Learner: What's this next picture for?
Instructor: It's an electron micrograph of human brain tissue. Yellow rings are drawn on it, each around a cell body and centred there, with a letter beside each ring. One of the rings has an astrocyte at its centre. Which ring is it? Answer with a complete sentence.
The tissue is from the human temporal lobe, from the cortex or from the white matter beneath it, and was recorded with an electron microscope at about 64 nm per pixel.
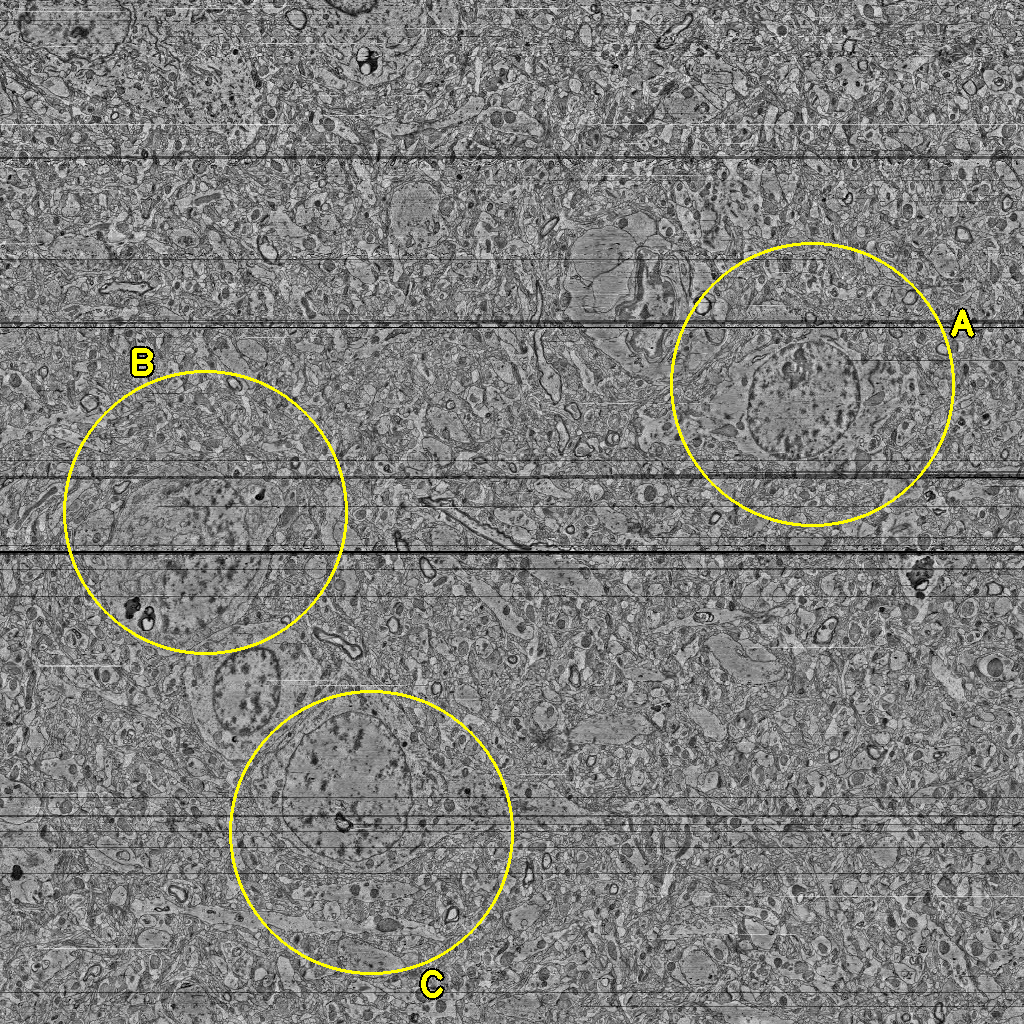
Ring A is centred on it.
